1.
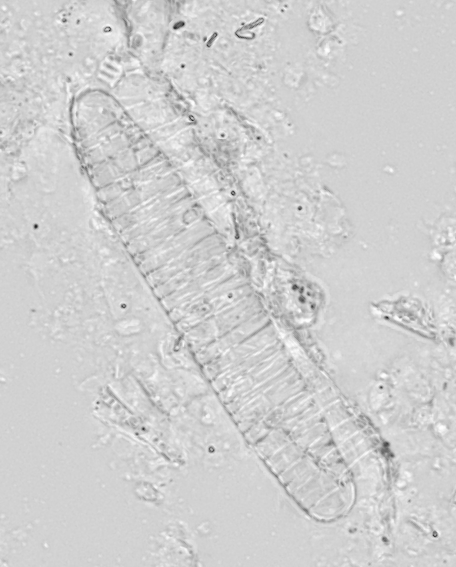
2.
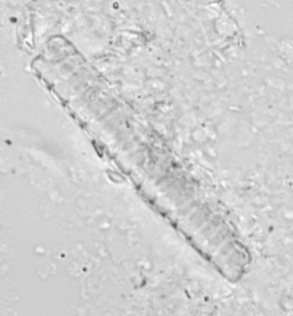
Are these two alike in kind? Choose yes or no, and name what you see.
Yes. Diatoma.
